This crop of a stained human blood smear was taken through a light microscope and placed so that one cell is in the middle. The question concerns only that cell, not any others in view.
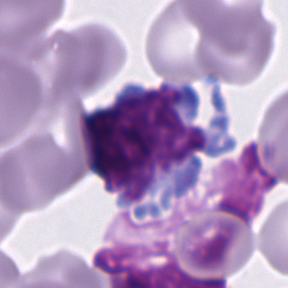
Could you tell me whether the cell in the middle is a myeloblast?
no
